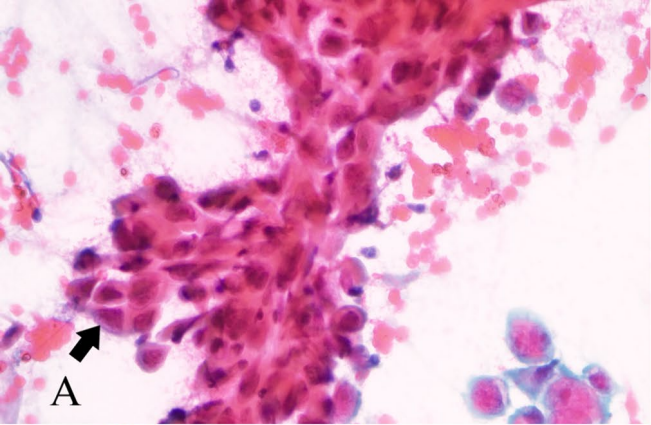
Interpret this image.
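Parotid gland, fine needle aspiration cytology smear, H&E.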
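A crowded, cohesive sheet of epithelial cells lies among scattered red blood cells, the cells having ample pink cytoplasm and large, dark, irregular nuclei that overlap one another. A few looser cells with blue-green cytoplasm sit at the lower right. These are groups of atypical epithelial cells with eosinophilic cytoplasm and enlarged irregular nuclei.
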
